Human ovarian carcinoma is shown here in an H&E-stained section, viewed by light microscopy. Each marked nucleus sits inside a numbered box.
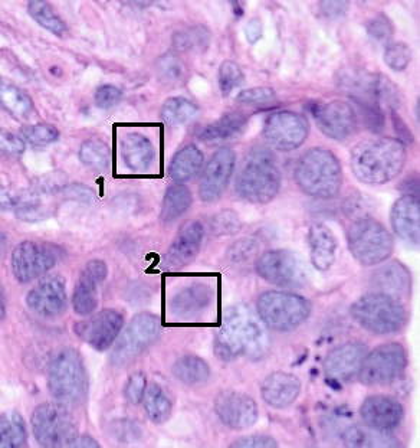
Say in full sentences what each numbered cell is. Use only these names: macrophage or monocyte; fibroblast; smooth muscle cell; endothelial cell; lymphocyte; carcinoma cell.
Cell 1 is a macrophage or monocyte and cell 2 is a carcinoma cell.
